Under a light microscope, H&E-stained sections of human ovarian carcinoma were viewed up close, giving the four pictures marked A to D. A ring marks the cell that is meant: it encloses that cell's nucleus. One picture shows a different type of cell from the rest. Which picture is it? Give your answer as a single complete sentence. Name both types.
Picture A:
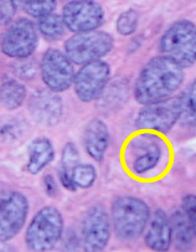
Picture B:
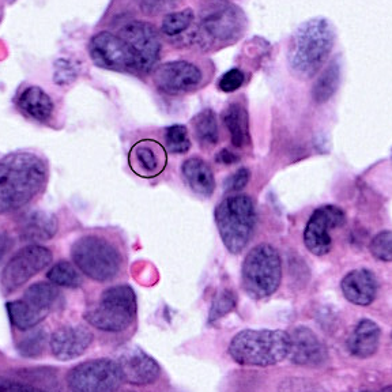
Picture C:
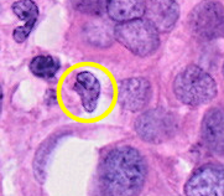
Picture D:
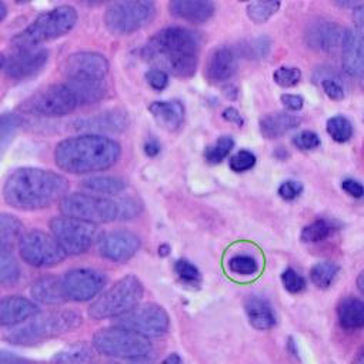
The different one is picture D; it shows a lymphocyte, whereas all the others show “macrophages or monocytes”.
